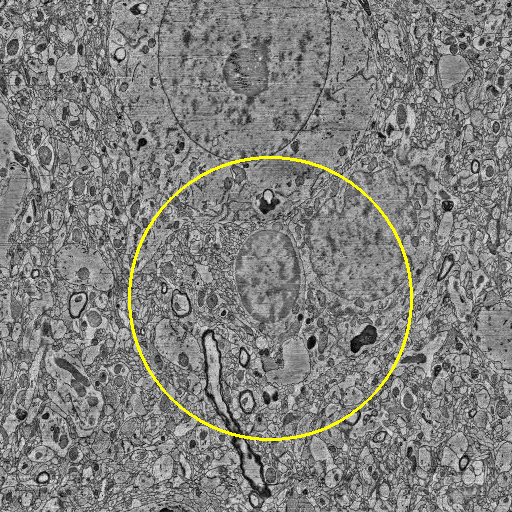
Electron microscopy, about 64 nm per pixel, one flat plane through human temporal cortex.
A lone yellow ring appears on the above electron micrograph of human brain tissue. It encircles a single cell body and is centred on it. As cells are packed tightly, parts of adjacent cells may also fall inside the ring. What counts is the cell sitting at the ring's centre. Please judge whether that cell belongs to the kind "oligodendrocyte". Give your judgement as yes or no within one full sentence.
Yes, the cell lying at the centre of the ring in the picture belongs to this kind.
